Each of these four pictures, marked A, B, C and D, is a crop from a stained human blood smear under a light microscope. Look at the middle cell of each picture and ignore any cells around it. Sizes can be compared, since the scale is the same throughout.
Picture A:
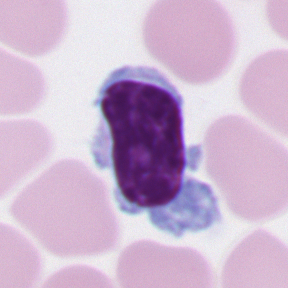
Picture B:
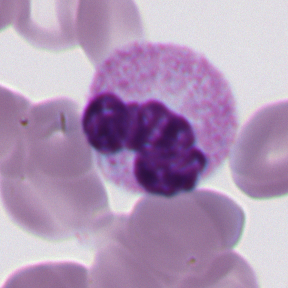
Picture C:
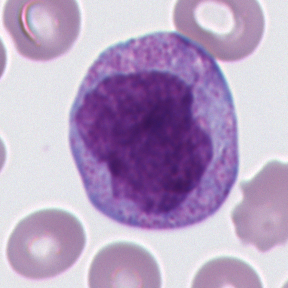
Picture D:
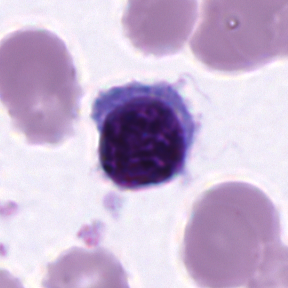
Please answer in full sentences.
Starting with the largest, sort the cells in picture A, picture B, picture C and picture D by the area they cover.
The order is C, B, A, D, beginning with the largest.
